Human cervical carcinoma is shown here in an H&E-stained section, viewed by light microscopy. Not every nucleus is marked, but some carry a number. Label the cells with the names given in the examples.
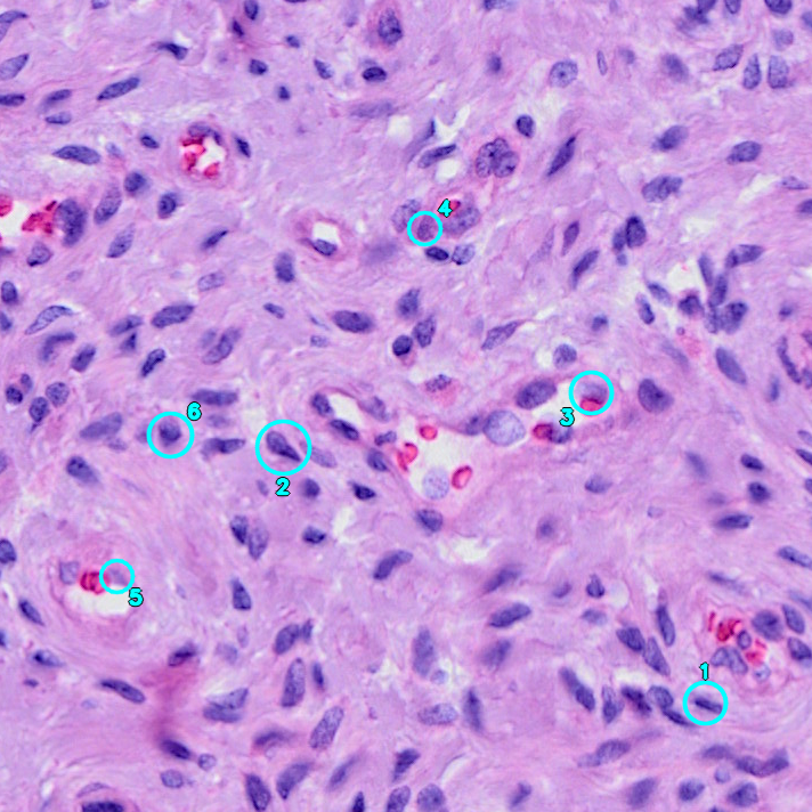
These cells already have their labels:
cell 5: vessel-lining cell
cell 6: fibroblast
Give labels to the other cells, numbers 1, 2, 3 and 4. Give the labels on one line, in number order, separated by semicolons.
fibroblast; fibroblast; vessel-lining cell; vessel-lining cell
